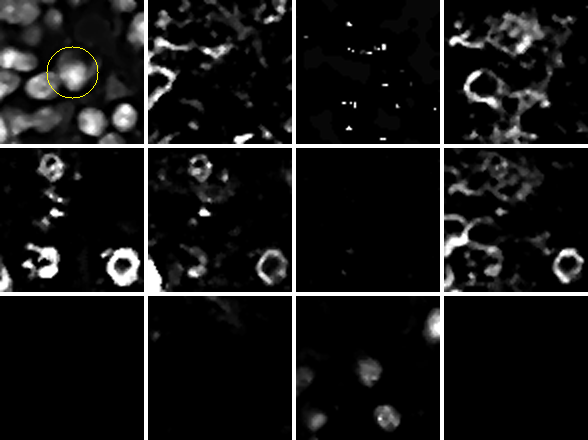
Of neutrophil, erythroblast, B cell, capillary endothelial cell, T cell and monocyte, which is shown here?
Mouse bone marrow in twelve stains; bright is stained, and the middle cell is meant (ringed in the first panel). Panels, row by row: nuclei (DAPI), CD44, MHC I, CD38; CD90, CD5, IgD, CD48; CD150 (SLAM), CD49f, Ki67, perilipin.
erythroblast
